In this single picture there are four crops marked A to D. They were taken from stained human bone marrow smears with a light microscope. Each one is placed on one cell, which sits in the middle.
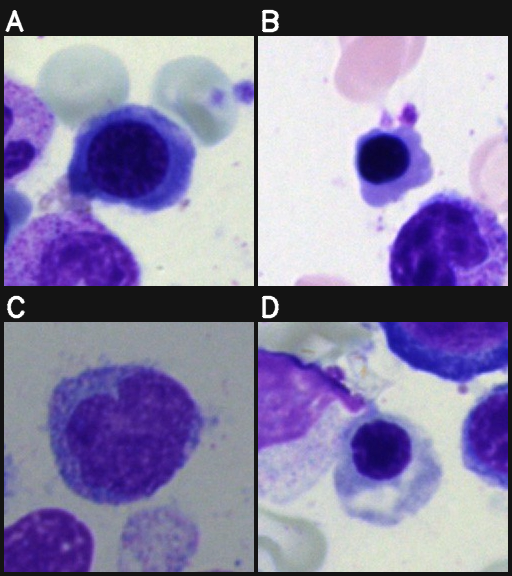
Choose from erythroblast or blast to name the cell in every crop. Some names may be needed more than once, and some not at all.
A: erythroblast
B: erythroblast
C: blast
D: erythroblast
